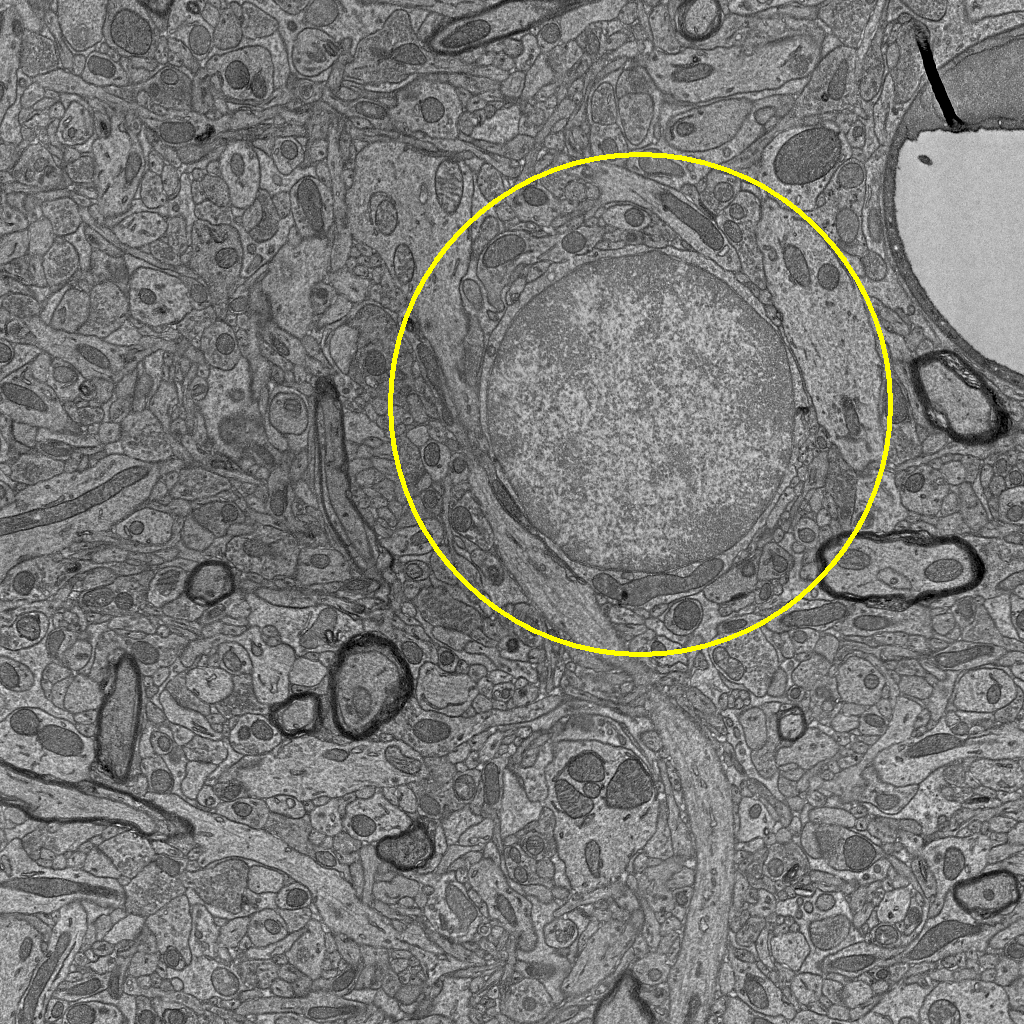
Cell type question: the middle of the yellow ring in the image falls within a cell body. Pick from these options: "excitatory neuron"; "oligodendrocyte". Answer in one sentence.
The cell body at the center of the ring belongs to an oligodendrocyte.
